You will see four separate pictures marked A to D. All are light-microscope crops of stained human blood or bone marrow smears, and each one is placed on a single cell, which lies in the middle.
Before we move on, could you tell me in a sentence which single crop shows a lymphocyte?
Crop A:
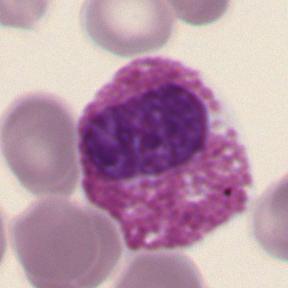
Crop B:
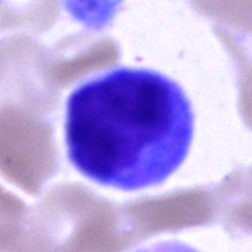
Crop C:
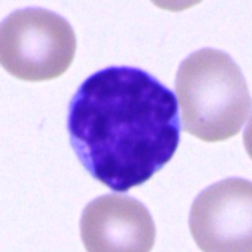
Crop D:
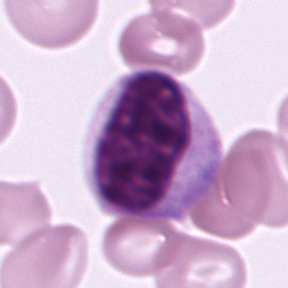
Crop C is the one depicting a lymphocyte.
